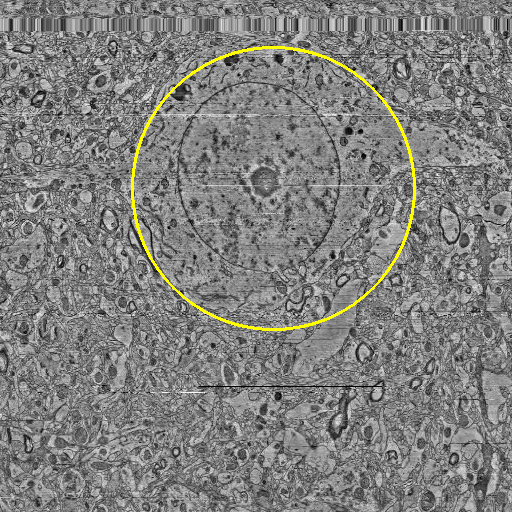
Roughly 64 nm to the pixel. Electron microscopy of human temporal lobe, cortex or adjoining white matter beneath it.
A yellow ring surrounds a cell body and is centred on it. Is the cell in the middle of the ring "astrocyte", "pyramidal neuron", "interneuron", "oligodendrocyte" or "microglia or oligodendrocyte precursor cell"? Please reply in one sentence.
The ring is centred on a pyramidal neuron.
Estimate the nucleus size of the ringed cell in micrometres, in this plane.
The nucleus appears roughly 13 by 10 micrometres in this plane.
